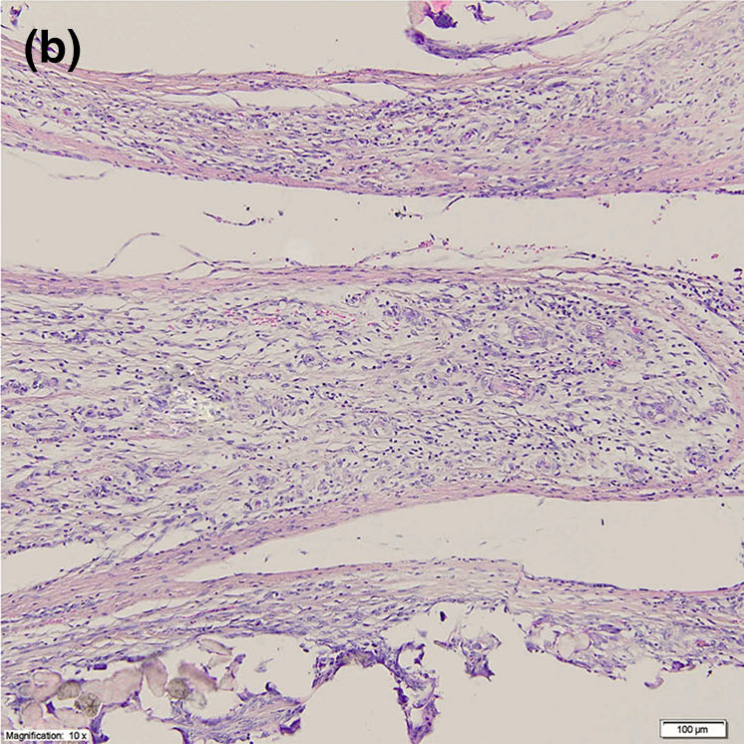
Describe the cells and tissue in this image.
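Three bands of tissue run horizontally, separated by clear spaces, each made of pink collagen fibres with many spindle-shaped cells whose purple nuclei are elongated and lie parallel to the fibres. Small vessels with red blood cells can be made out within the middle band. At the lower edge, the tissue borders fragments of foreign material containing brown granules, with cells lining the fragments.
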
